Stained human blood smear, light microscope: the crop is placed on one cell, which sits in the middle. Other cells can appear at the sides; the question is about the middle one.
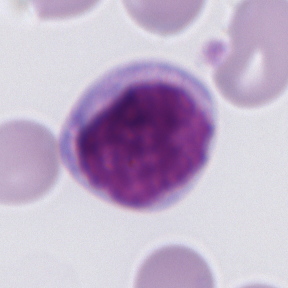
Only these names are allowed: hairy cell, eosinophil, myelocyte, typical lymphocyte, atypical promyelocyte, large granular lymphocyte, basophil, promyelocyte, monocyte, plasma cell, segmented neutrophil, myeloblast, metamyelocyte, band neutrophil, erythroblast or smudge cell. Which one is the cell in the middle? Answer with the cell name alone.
large granular lymphocyte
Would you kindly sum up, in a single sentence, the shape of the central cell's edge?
Nothing juts out from the margin, which is smooth throughout.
